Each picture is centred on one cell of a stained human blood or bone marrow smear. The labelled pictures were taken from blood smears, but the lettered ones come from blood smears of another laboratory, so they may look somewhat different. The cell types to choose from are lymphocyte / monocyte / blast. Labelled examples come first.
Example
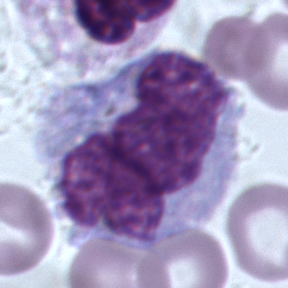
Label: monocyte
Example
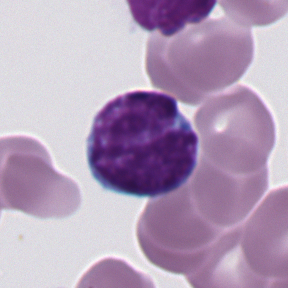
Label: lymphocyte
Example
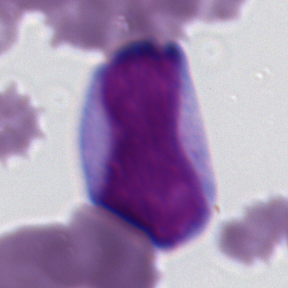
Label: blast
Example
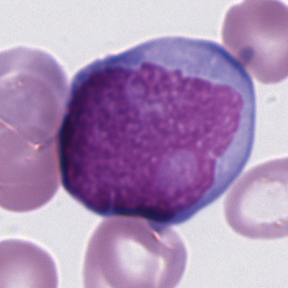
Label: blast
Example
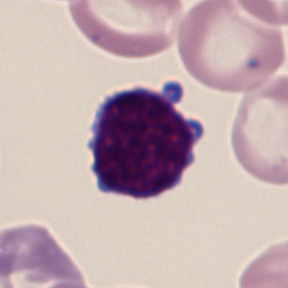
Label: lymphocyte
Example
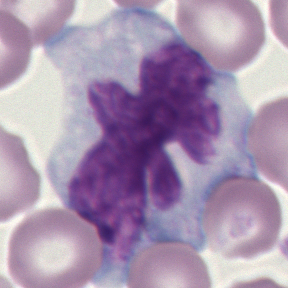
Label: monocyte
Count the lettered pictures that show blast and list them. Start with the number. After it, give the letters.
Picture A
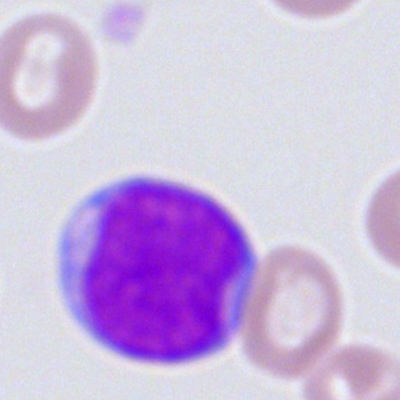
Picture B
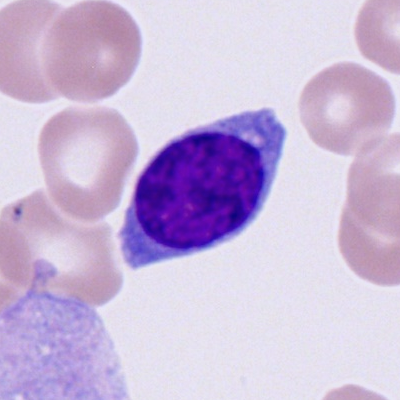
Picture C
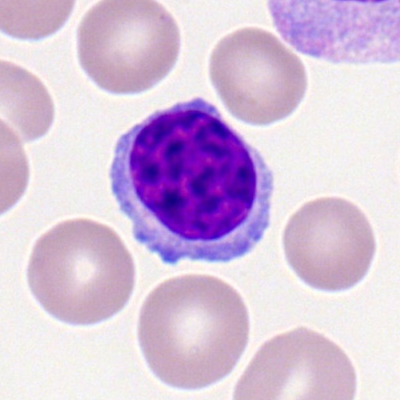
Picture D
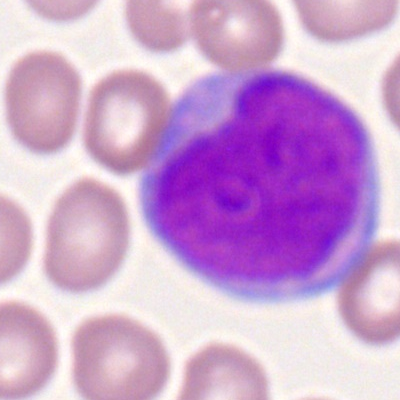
Count: 2 (A, D)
